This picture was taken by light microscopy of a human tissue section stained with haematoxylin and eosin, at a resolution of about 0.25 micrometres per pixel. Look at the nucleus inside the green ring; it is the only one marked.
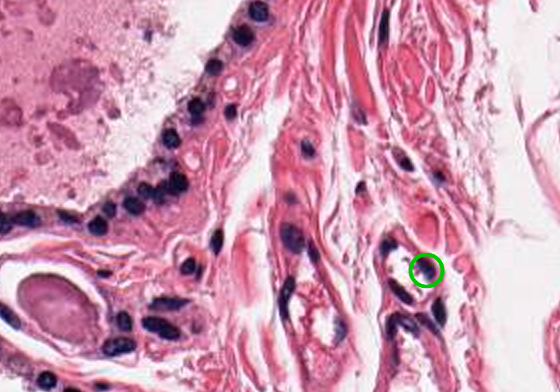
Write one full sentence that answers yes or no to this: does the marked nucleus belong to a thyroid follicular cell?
No, the marked nucleus is found in a supporting cell instead of in a thyroid follicular cell.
